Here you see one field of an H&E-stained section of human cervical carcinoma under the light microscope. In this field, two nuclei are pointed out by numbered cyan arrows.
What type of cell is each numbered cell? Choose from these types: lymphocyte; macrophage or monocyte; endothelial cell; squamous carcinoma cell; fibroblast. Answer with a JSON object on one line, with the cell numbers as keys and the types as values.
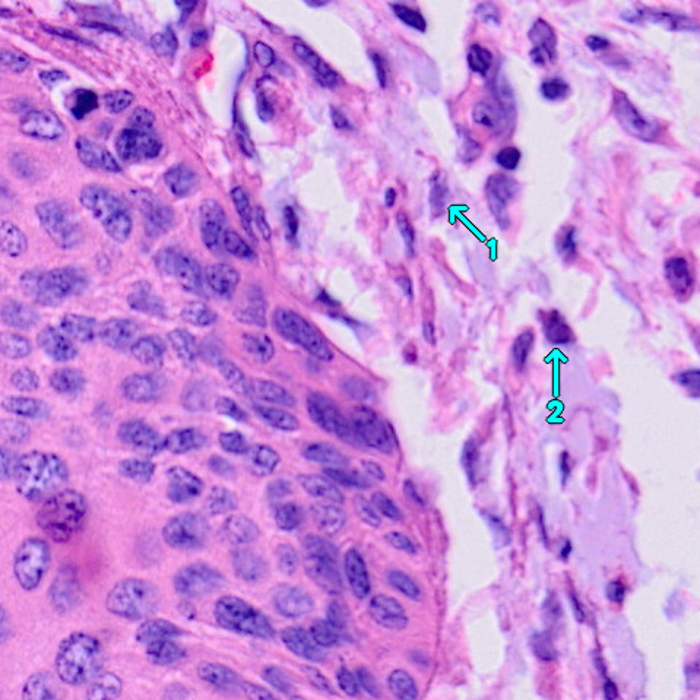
{"1": "fibroblast", "2": "macrophage or monocyte"}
